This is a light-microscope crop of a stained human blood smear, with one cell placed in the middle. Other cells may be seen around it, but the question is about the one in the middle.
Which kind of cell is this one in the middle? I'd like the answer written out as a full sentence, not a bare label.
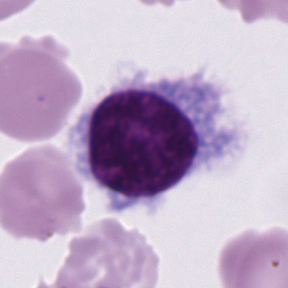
The crop shows a hairy cell in its centre.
